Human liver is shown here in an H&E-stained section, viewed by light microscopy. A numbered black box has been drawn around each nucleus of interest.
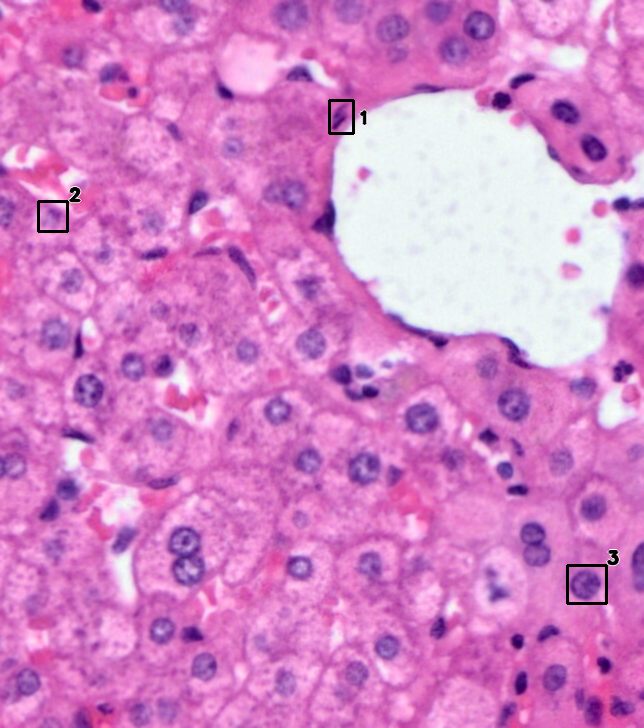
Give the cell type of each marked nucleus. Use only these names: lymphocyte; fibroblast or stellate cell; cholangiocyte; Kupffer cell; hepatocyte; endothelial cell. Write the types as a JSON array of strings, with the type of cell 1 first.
["fibroblast or stellate cell", "hepatocyte", "hepatocyte"]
